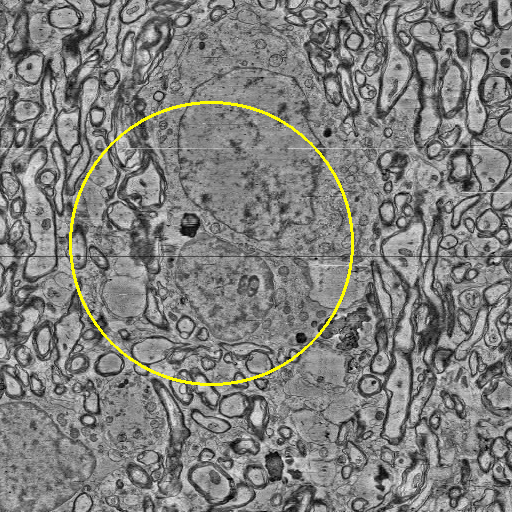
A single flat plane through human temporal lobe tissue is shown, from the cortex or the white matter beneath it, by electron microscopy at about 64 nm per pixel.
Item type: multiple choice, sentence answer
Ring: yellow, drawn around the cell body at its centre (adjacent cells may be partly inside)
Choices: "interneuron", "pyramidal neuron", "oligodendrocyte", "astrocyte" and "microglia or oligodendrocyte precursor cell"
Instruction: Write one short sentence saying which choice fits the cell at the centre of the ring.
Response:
This ring is drawn around an oligodendrocyte.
